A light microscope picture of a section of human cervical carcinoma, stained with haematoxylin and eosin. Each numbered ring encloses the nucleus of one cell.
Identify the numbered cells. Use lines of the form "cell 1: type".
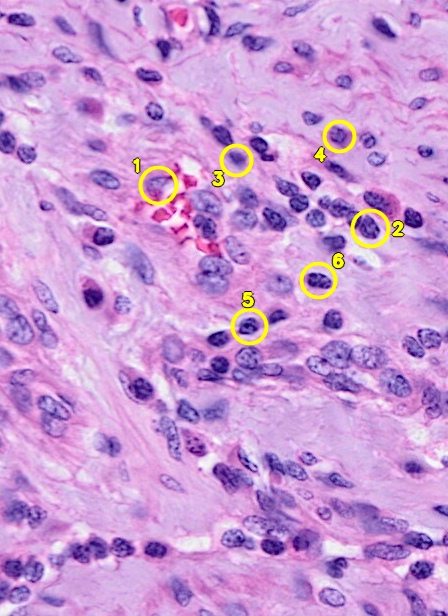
cell 1: endothelial cell
cell 2: lymphocyte
cell 3: lymphocyte
cell 4: smooth muscle cell
cell 5: lymphocyte
cell 6: lymphocyte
